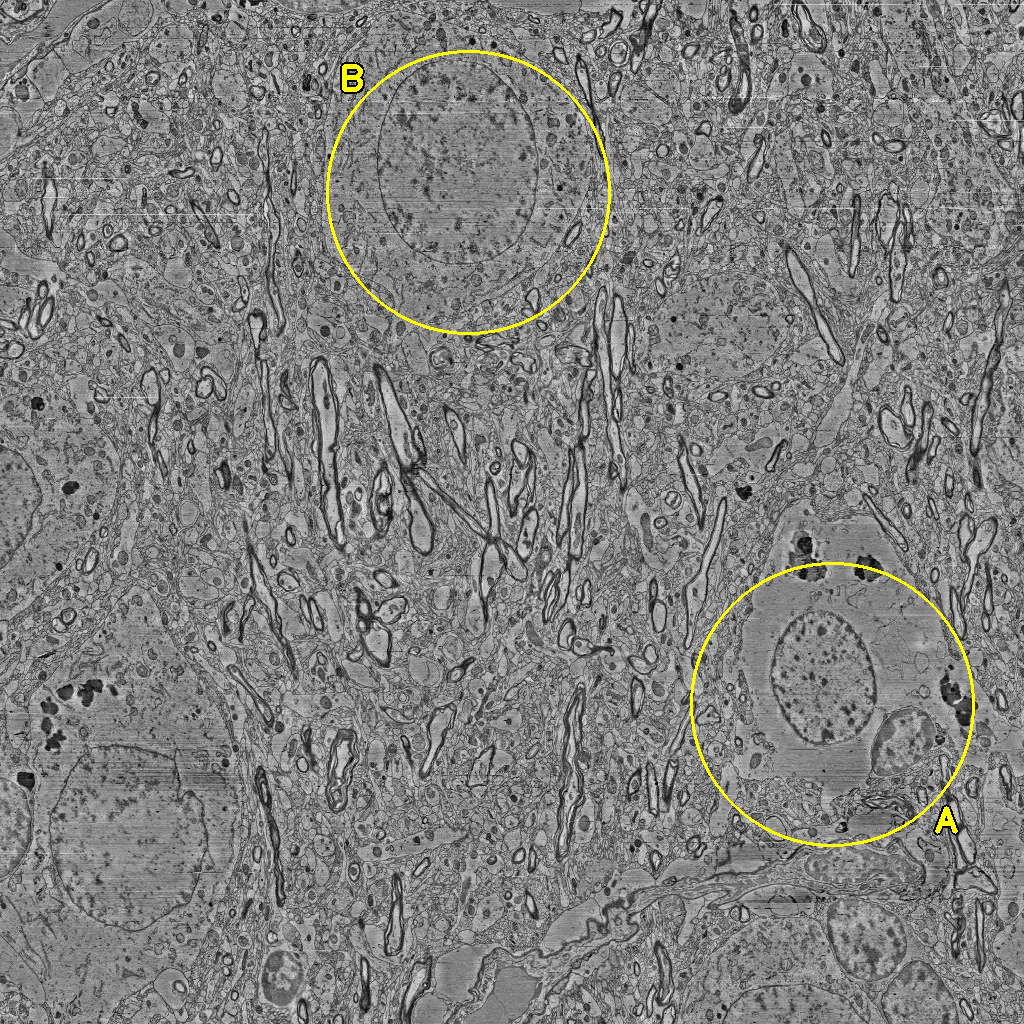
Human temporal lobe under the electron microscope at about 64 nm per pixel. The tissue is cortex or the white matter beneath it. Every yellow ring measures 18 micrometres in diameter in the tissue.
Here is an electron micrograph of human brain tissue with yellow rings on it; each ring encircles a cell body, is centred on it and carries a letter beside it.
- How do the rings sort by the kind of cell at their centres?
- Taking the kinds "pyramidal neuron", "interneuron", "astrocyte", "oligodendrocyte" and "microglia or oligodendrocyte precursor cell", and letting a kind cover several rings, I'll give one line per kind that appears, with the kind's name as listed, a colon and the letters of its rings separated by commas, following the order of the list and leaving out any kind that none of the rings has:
pyramidal neuron: B
astrocyte: A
